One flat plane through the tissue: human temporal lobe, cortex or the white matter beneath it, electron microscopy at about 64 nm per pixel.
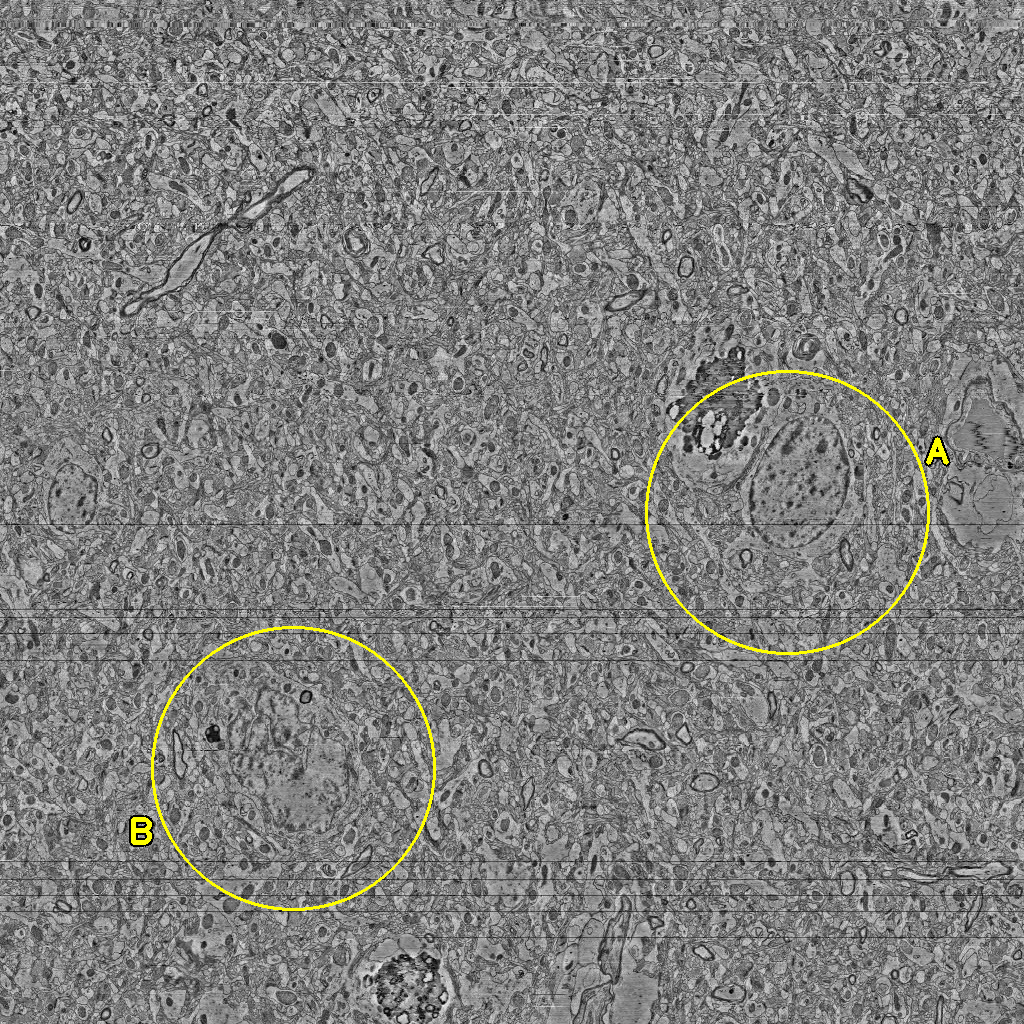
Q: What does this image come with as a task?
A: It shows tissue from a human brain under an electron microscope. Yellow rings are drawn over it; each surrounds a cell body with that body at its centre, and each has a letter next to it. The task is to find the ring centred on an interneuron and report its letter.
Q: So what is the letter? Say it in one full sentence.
It is B, the letter of the ring centred on the cell asked for in the picture.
